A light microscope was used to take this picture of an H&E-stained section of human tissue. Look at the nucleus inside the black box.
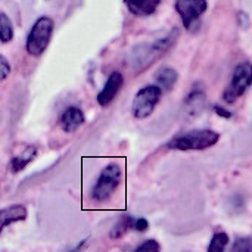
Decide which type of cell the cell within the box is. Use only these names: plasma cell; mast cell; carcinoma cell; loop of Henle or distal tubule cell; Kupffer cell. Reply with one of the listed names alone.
mast cell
